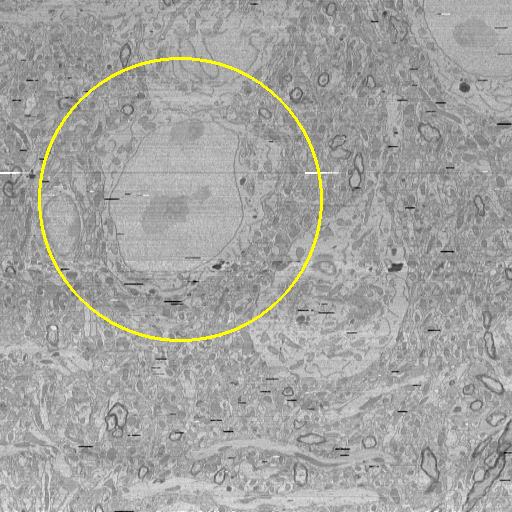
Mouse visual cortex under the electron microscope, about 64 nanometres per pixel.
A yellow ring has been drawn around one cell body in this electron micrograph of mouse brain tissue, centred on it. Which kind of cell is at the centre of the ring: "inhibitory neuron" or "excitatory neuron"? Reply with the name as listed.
excitatory neuron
